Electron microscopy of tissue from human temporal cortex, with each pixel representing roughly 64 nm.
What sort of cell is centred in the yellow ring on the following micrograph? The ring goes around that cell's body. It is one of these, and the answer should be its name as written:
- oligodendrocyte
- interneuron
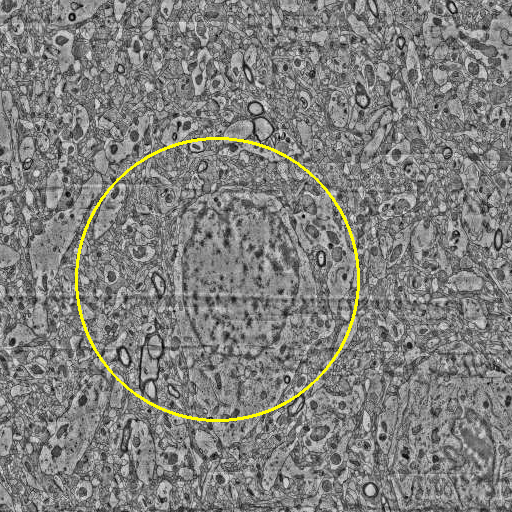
interneuron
